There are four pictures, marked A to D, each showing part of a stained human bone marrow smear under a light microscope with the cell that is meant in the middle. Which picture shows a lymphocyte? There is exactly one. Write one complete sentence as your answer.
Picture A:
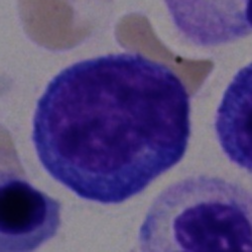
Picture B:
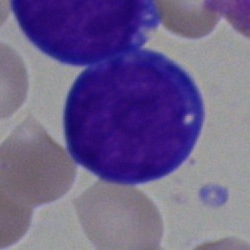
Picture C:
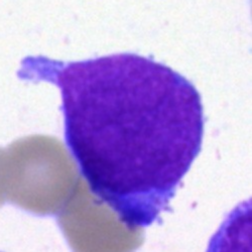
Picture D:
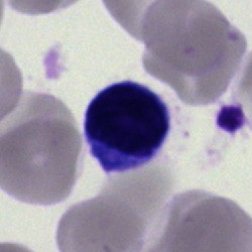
The lymphocyte is the one in picture D.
